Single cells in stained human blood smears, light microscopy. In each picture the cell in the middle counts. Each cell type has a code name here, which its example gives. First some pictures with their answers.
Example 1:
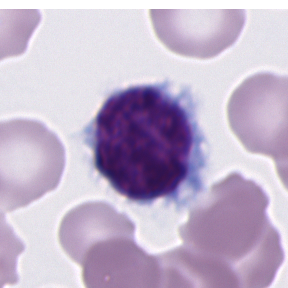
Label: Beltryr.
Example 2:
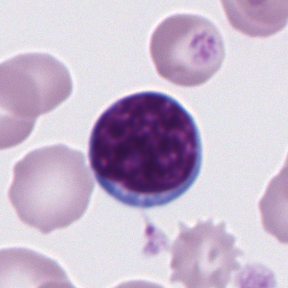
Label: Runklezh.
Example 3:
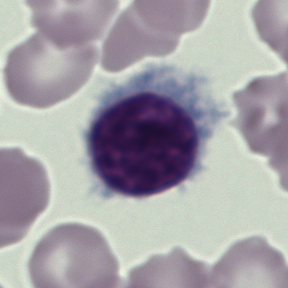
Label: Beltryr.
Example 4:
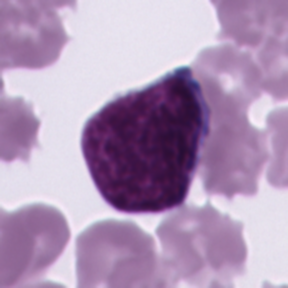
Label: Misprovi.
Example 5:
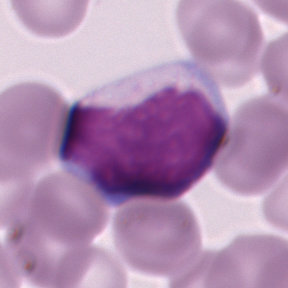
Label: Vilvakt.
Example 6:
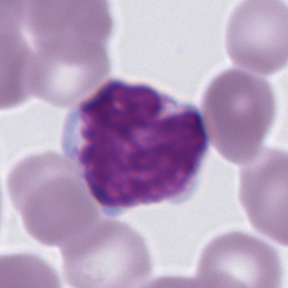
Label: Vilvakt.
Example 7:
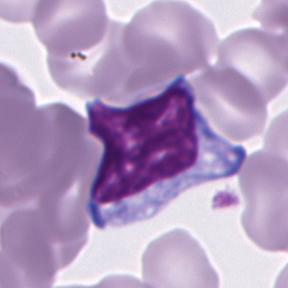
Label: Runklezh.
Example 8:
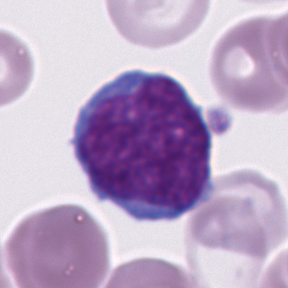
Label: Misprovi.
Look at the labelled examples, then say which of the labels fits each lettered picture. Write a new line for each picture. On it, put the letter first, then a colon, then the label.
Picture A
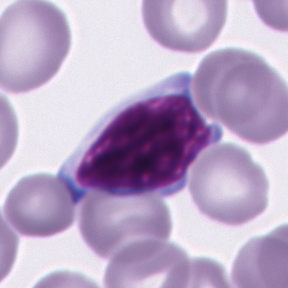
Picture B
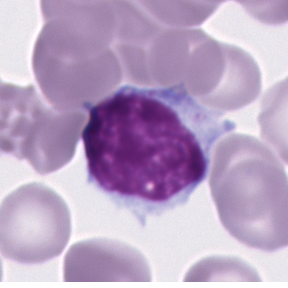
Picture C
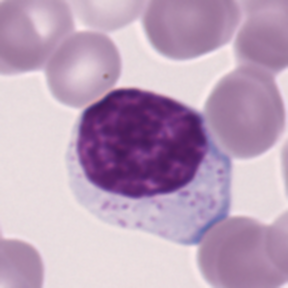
A: Runklezh.
B: Runklezh.
C: Vilvakt.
